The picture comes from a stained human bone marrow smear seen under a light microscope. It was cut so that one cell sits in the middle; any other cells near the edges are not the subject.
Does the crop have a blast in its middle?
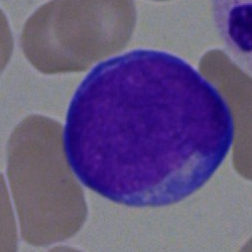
yes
